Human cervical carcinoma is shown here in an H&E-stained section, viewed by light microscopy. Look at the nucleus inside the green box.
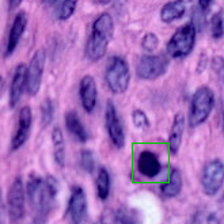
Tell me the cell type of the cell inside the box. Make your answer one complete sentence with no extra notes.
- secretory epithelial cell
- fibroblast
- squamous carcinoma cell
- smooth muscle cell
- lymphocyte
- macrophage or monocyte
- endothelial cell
The cell type represented by the cell inside the box is that of a squamous carcinoma cell.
